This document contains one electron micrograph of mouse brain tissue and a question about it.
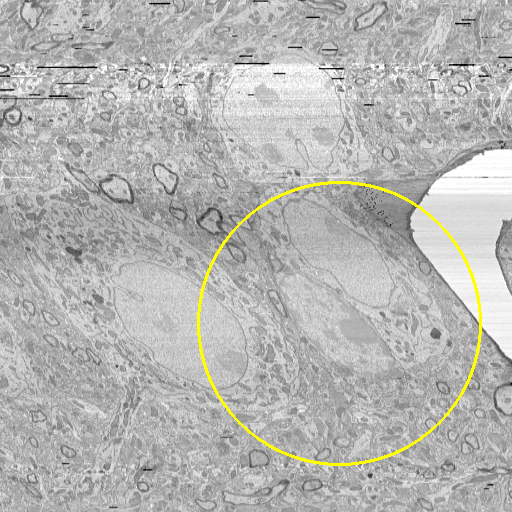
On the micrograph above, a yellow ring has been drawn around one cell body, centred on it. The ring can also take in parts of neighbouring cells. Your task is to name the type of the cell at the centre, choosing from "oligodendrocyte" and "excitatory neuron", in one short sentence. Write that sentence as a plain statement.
Here the ring is centred on an oligodendrocyte.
